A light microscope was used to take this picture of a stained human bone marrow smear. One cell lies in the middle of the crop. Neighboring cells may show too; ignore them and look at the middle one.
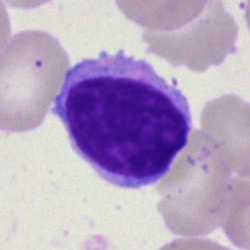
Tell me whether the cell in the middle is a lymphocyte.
yes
